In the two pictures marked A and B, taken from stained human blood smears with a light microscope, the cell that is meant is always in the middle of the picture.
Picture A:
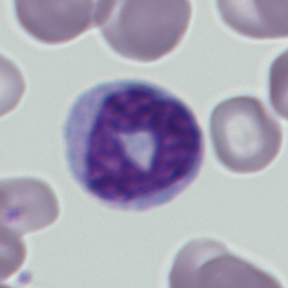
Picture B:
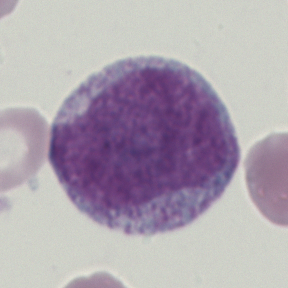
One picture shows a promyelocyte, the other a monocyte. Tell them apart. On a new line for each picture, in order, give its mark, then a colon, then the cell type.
A: monocyte
B: promyelocyte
